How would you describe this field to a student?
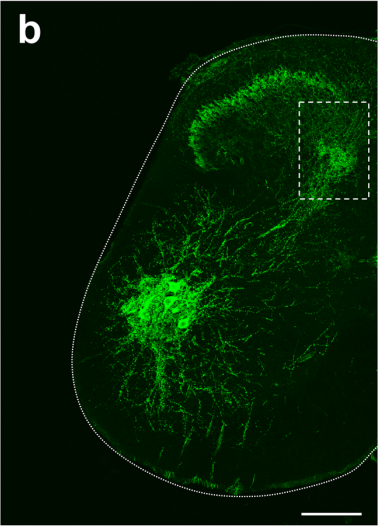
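Transverse section of one half of the spinal cord in which a group of motor neurons in the ventral horn is brightly labelled green, with large cell bodies and dendrites radiating in many directions into the surrounding gray and white matter. A green band lines the dorsal horn, and fine labelled fibers run from the ventral cluster toward the deep dorsal horn.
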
